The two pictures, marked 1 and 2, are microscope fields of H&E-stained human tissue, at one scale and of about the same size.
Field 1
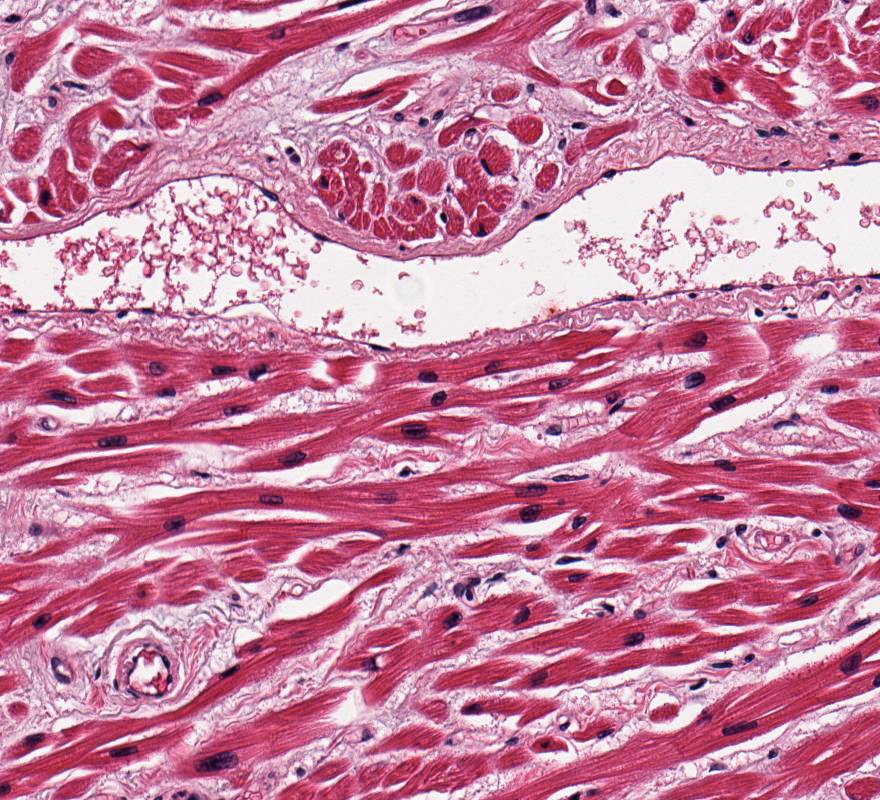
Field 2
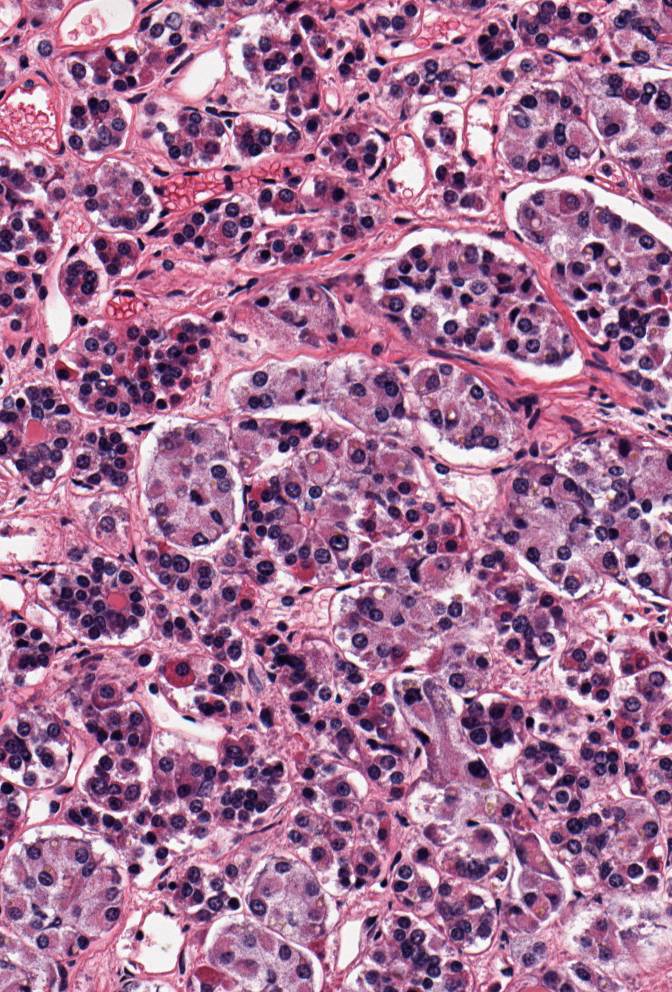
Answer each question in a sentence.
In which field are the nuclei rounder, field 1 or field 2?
On the whole the nuclei of field 2 are rounder than those of field 1.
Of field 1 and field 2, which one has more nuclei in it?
It is field 2 that has more nuclei in it.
